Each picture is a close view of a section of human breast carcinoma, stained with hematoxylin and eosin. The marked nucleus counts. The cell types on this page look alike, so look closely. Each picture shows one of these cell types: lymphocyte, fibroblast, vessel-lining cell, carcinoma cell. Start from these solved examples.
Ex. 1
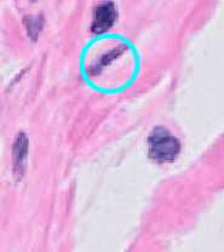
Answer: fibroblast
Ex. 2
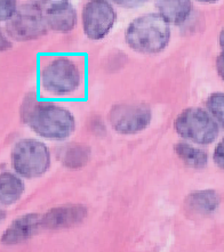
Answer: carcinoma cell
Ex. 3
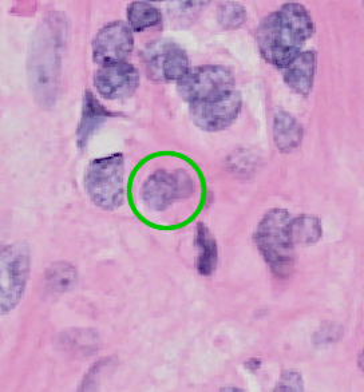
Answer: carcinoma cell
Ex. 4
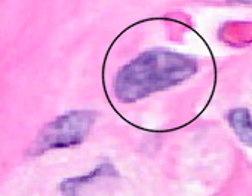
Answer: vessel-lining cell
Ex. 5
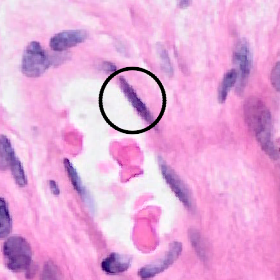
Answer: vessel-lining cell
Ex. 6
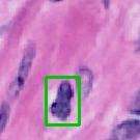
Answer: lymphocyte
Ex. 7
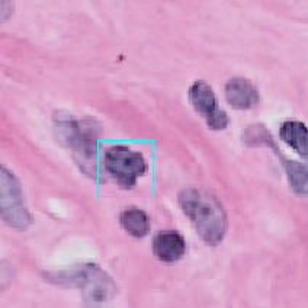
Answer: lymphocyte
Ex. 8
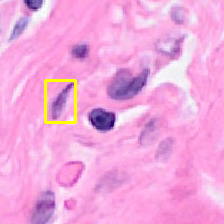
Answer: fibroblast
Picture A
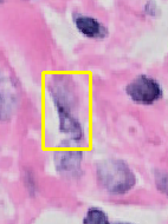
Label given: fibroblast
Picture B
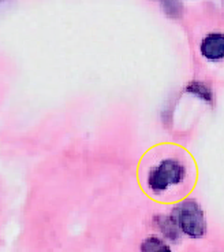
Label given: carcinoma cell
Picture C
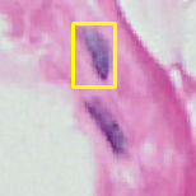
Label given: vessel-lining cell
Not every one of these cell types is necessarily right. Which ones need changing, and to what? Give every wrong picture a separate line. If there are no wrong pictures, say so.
B: change carcinoma cell to lymphocyte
